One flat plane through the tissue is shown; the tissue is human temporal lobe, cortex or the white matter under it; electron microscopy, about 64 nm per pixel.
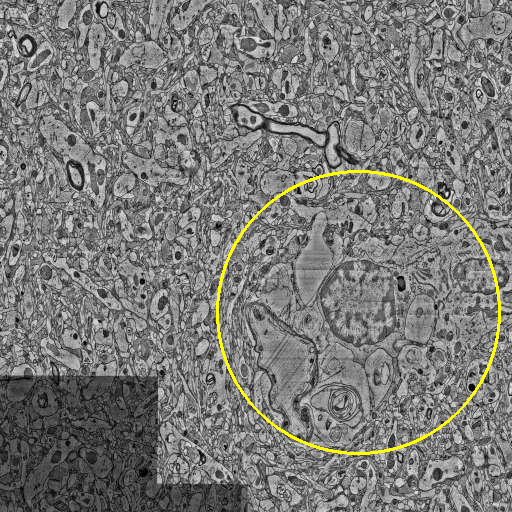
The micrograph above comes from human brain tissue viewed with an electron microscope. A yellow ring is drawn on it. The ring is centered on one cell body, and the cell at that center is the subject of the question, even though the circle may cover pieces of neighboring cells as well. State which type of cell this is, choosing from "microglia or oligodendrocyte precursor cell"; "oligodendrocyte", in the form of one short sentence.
The cell the ring is centered on is a microglial cell or oligodendrocyte precursor cell.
